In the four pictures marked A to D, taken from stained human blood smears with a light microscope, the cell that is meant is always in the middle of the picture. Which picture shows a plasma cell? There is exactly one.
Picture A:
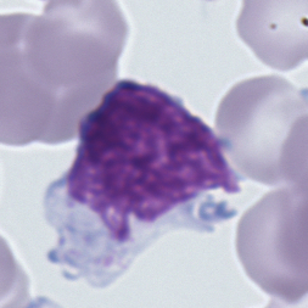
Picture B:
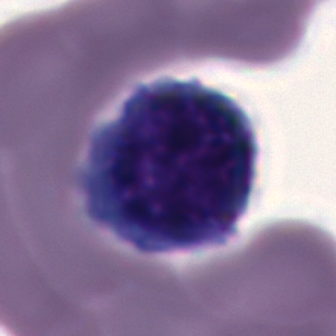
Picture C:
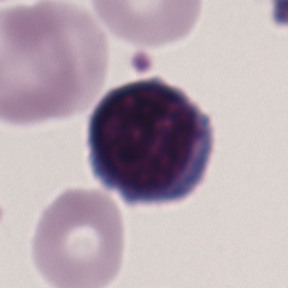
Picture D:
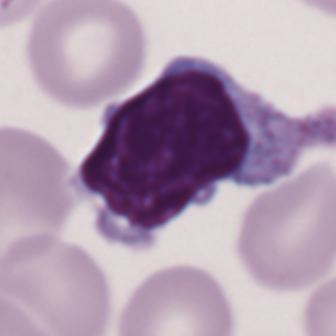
B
